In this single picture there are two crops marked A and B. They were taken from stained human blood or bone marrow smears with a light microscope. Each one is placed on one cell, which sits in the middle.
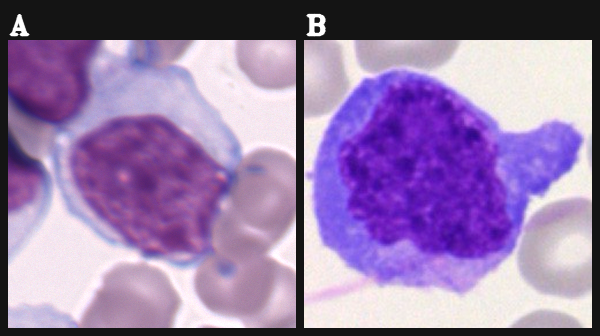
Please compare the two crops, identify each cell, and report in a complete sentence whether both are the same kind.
Yes, the two crops show blasts, both of them.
